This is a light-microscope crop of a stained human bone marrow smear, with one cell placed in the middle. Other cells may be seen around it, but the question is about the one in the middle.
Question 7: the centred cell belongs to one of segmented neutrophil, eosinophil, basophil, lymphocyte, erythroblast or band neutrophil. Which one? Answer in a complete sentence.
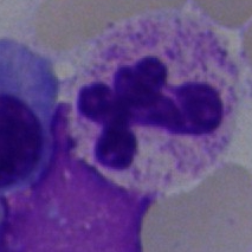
The middle of this crop holds a segmented neutrophil.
